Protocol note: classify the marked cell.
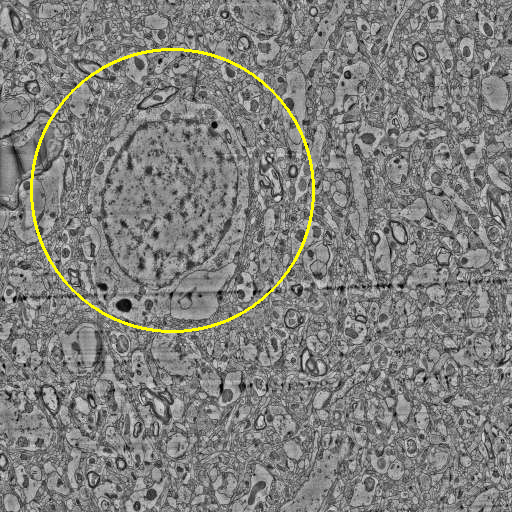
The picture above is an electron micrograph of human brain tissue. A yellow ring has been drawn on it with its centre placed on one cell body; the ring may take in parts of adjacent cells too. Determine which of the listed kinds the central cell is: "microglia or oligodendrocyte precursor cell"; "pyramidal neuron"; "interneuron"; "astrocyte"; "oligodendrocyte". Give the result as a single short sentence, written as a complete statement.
The central cell is an interneuron.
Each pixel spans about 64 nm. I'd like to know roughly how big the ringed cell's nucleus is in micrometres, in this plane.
About 11 by 8 micrometers, in this plane.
